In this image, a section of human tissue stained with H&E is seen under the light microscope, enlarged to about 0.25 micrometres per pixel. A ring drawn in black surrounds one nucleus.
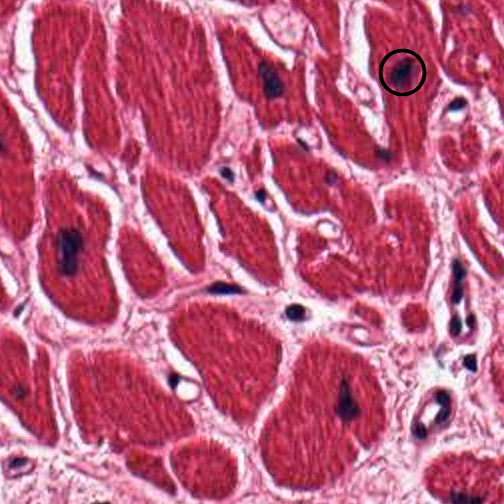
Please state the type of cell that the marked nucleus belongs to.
cardiomyocyte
